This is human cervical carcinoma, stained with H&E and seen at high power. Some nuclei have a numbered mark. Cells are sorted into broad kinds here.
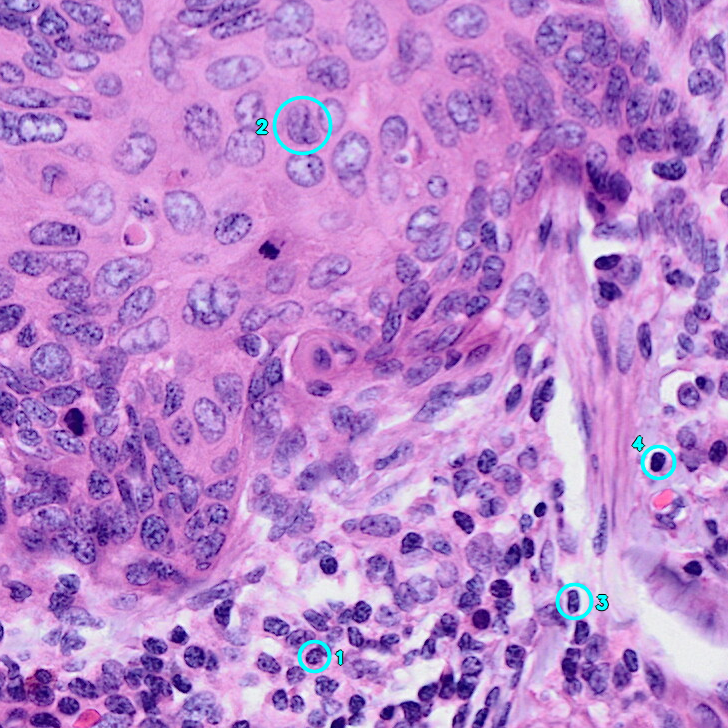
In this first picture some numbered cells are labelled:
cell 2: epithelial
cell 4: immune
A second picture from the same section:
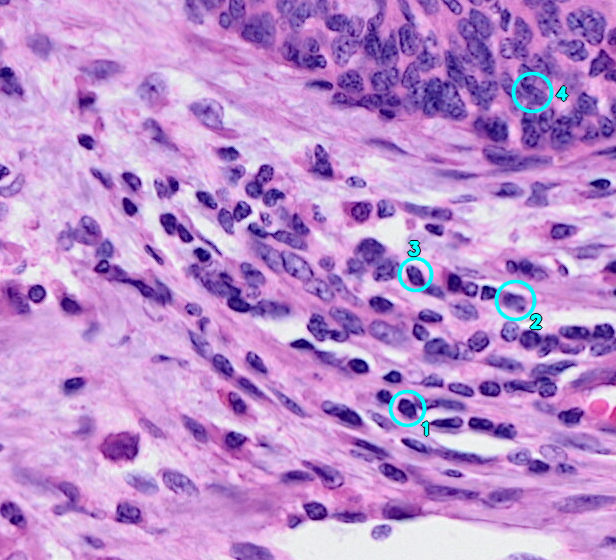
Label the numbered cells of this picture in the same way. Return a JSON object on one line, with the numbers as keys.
{"1": "immune", "2": "immune", "3": "immune", "4": "epithelial"}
